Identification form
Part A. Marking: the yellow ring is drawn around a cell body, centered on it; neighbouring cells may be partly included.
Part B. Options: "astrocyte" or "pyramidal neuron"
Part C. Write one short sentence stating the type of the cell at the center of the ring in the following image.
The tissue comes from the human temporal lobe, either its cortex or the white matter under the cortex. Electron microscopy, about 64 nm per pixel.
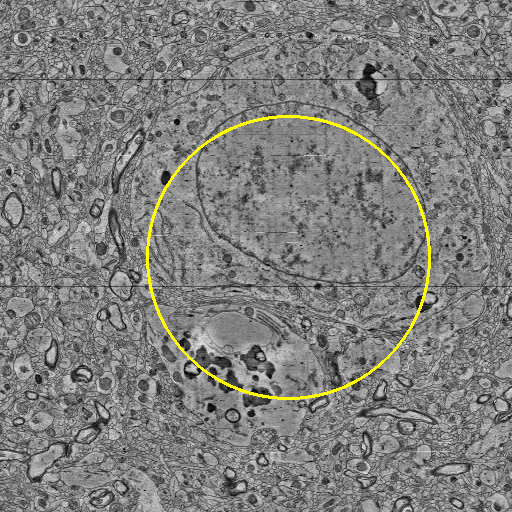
The center of the ring holds a pyramidal neuron.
